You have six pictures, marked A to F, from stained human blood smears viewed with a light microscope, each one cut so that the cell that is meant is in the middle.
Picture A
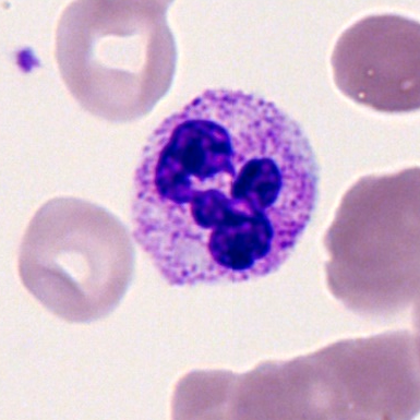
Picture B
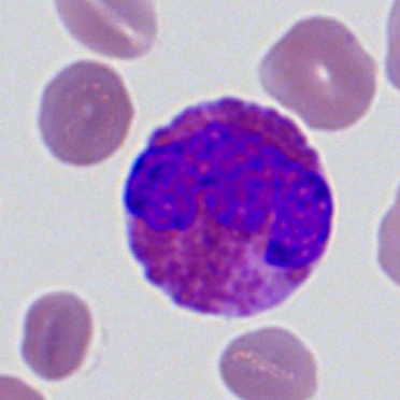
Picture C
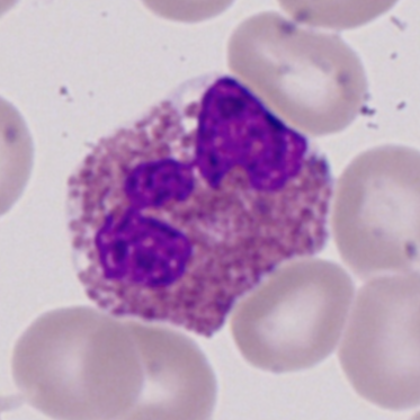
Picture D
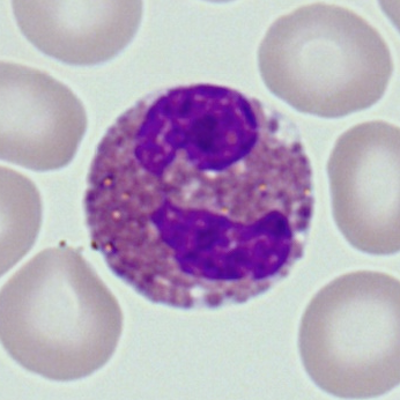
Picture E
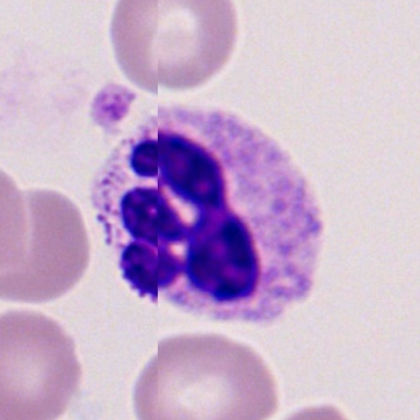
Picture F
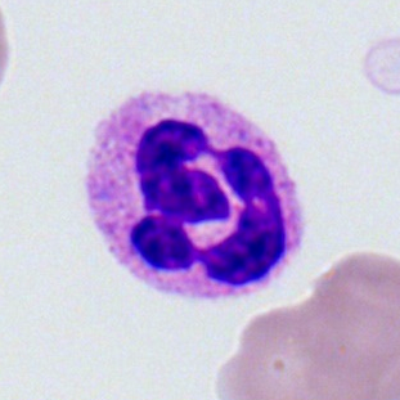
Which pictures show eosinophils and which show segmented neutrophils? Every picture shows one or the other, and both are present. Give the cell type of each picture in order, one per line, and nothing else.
segmented neutrophil
eosinophil
eosinophil
eosinophil
segmented neutrophil
segmented neutrophil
